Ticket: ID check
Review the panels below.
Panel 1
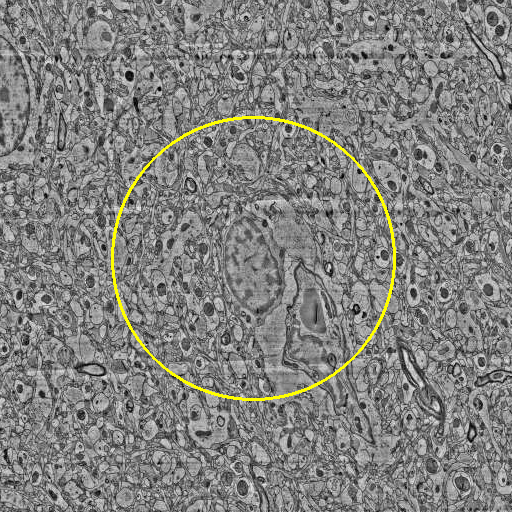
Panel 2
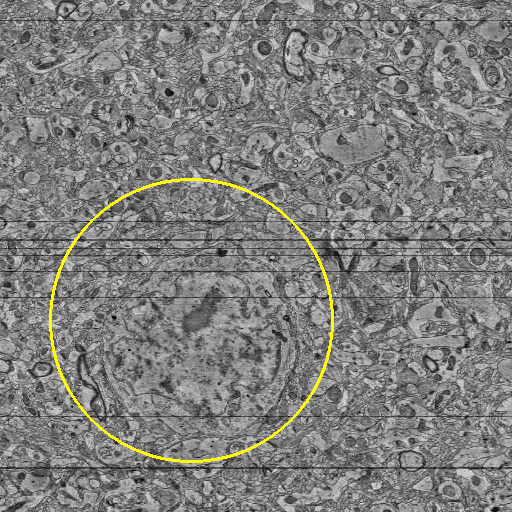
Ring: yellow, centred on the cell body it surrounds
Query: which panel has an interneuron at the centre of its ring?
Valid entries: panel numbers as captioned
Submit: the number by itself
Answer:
2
